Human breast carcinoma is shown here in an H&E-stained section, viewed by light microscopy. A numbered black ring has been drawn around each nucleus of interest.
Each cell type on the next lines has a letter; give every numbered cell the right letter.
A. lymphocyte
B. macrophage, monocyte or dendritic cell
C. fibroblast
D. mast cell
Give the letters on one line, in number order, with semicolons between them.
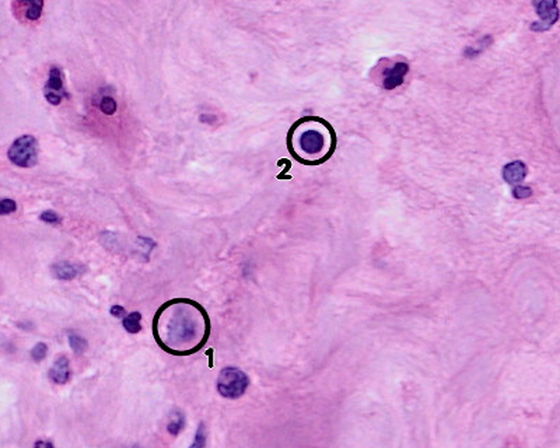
C; A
